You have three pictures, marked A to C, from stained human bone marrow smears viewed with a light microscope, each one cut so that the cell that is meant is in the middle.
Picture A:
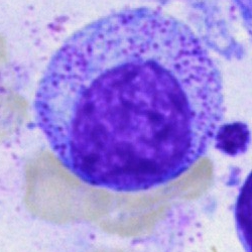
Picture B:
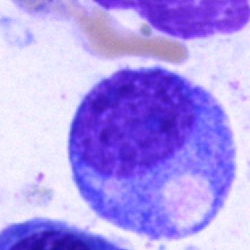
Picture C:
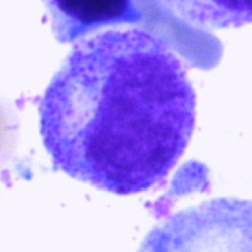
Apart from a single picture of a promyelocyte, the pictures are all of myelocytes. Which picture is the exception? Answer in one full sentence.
Picture B shows the promyelocyte.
